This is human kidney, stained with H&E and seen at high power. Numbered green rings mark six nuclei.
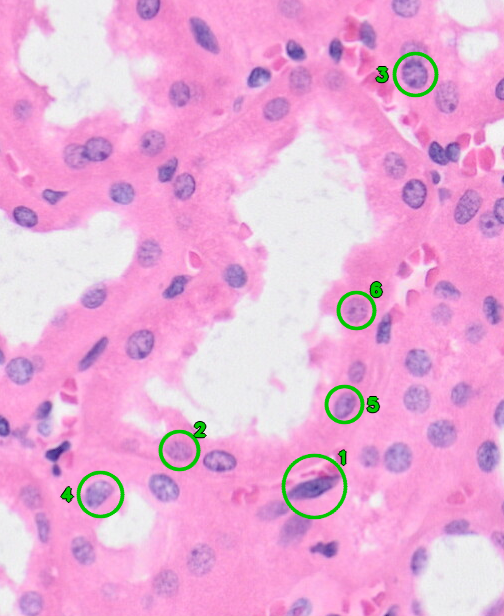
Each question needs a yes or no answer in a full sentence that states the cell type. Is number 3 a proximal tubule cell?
Yes, the marked cell numbered 3 is a proximal tubule cell.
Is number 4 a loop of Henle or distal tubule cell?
Yes, the marked cell number 4 is a loop of Henle or distal tubule cell.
